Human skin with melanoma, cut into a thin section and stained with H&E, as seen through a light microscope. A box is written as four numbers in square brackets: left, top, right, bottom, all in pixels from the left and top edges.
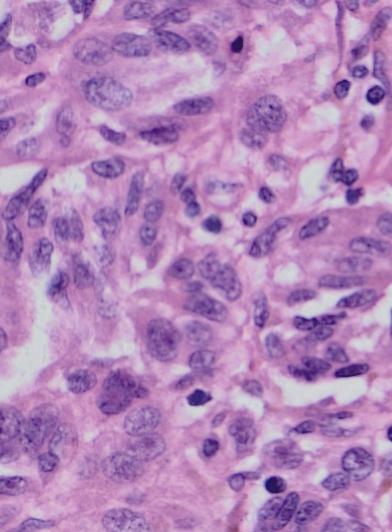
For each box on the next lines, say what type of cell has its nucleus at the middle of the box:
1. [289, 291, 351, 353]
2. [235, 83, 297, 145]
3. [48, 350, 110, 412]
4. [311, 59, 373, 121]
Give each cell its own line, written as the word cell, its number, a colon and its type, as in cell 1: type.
cell 1: melanoma cell
cell 2: melanoma cell
cell 3: melanoma cell
cell 4: lymphocyte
